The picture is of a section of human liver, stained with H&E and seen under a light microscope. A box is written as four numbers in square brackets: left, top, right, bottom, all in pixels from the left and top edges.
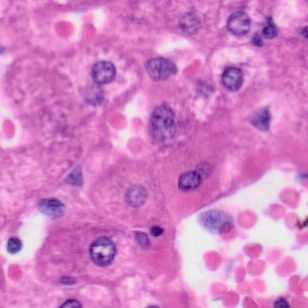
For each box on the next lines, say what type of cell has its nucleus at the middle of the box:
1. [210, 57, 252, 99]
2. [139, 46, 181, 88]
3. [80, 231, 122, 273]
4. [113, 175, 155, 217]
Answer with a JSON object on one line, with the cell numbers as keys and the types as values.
{"1": "hepatocyte", "2": "Kupffer cell", "3": "hepatocyte", "4": "hepatocyte"}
